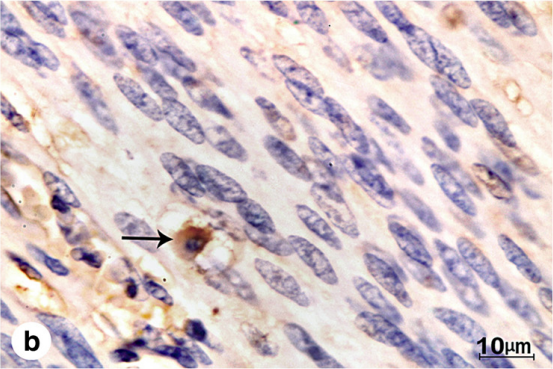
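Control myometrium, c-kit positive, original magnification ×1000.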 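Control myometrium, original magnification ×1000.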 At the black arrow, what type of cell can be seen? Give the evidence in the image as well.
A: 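The arrow points to a rounded cell with brown-stained cytoplasm. Its nucleus is round, unlike the elongated oval nuclei of the surrounding cells. It sits singly among parallel spindle-shaped cells.
Hence: mast cell.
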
